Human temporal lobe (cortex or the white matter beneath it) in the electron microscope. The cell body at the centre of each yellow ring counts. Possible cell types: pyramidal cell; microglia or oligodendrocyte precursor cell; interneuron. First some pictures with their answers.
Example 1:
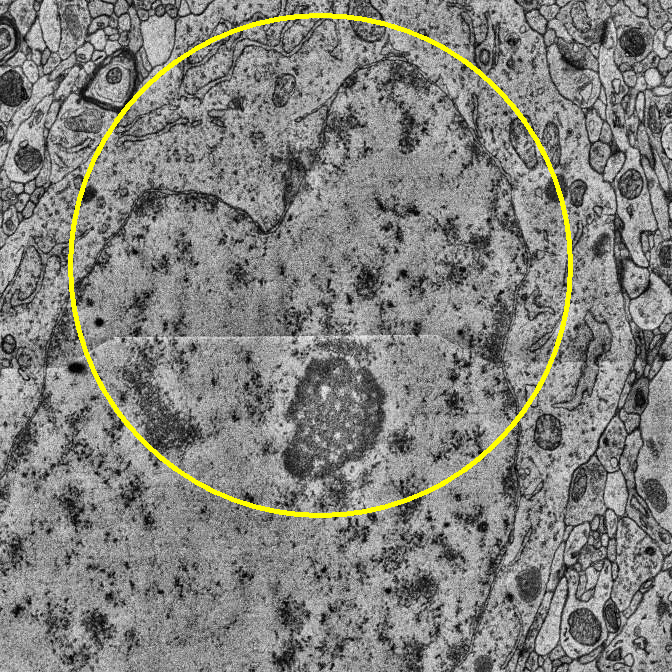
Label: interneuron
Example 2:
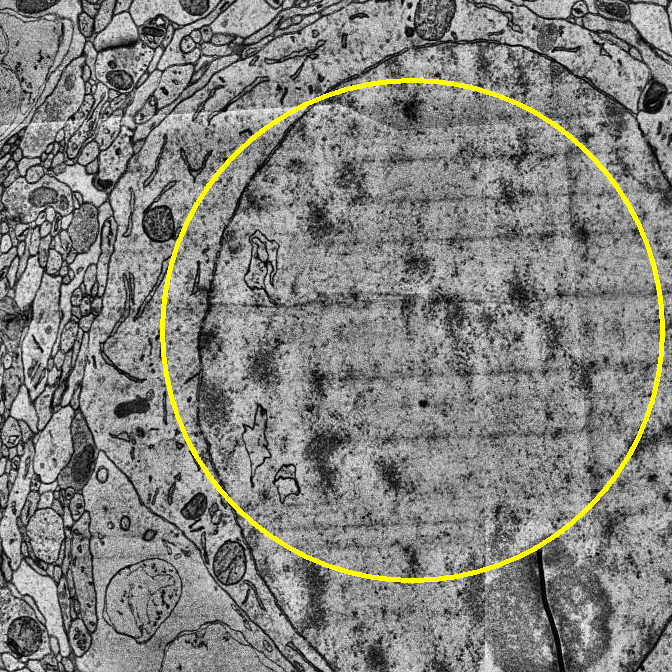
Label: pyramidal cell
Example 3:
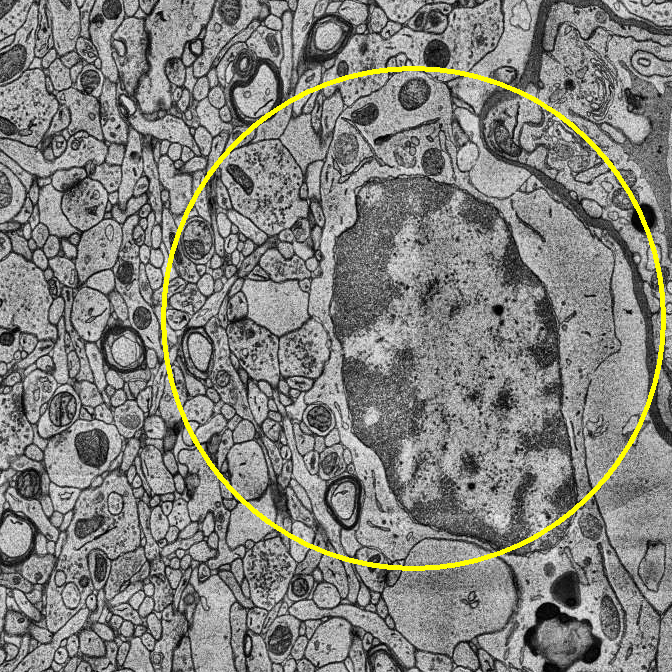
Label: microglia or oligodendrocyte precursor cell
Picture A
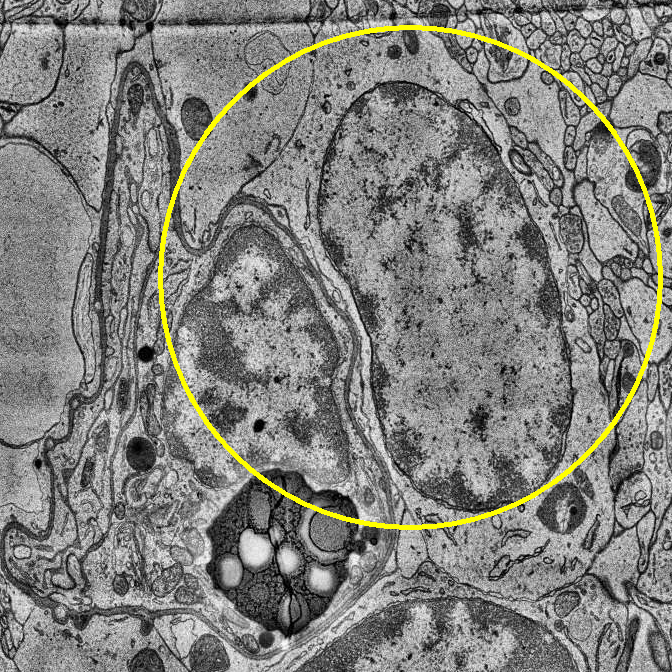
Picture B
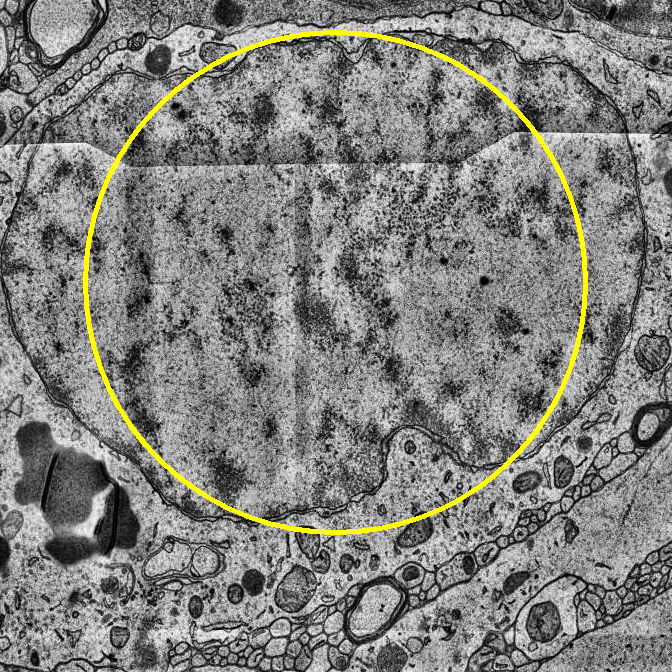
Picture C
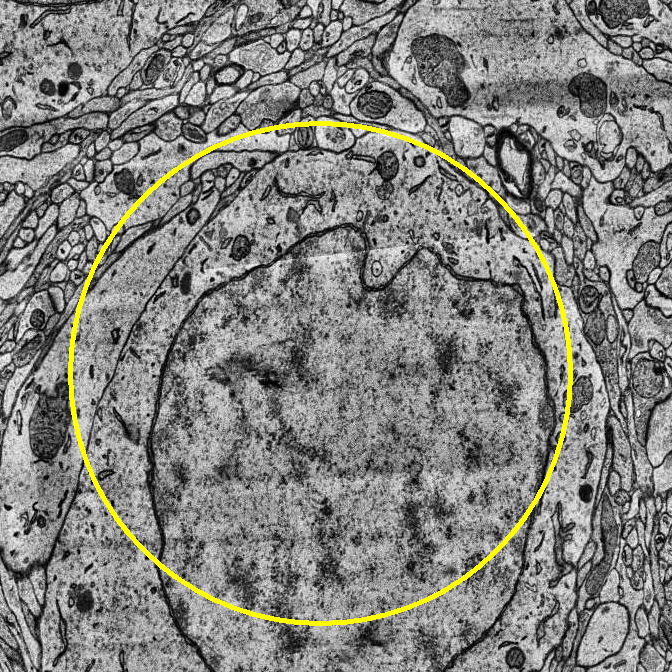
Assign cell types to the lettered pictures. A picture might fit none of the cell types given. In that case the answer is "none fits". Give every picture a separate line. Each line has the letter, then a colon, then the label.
A: microglia or oligodendrocyte precursor cell
B: interneuron
C: pyramidal cell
